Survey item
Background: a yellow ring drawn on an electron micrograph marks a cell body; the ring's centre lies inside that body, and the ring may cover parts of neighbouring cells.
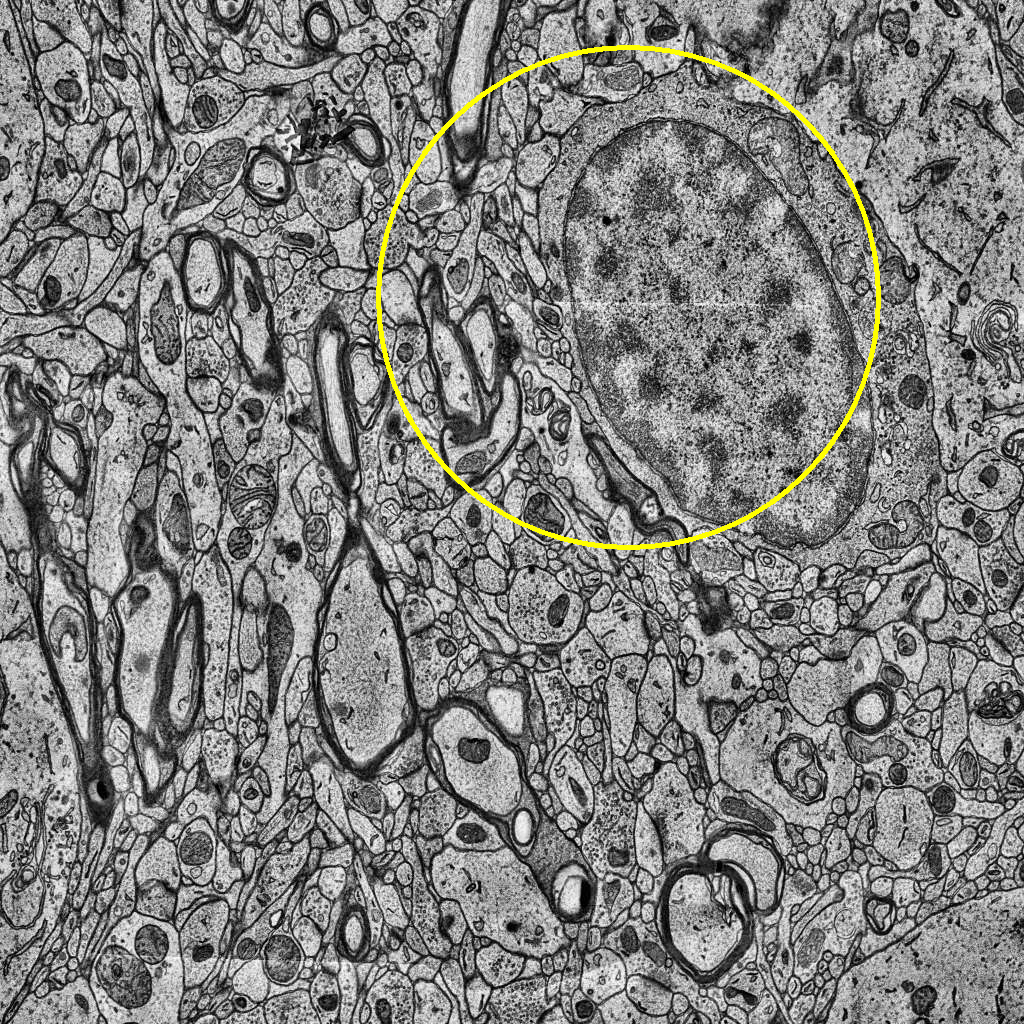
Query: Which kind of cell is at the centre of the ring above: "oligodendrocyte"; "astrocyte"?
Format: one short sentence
The cell in the middle of the ring is an oligodendrocyte.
